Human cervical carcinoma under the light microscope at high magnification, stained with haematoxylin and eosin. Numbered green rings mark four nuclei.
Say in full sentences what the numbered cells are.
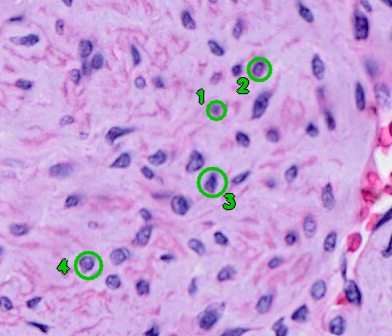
Cell 1 is a smooth muscle cell, cell 2 is a smooth muscle cell, cell 3 is a fibroblast and cell 4 is a smooth muscle cell.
